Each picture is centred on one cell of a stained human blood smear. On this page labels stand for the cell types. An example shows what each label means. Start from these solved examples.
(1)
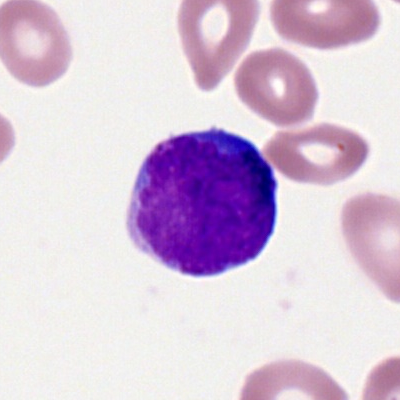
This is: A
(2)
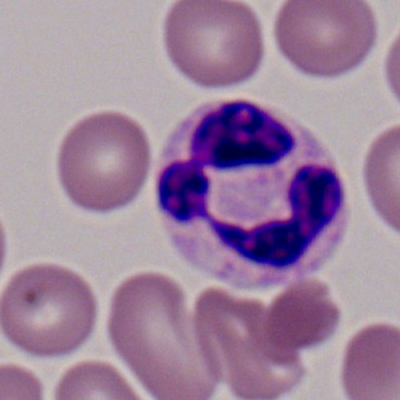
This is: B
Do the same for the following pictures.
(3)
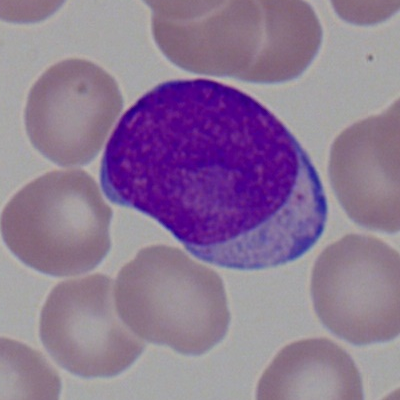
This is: A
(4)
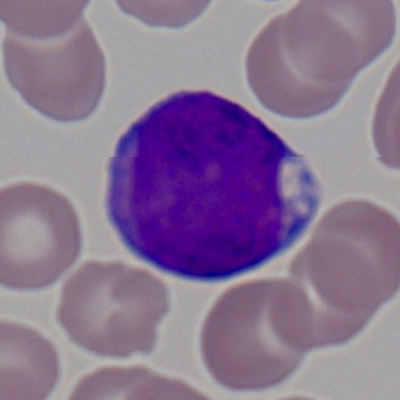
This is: A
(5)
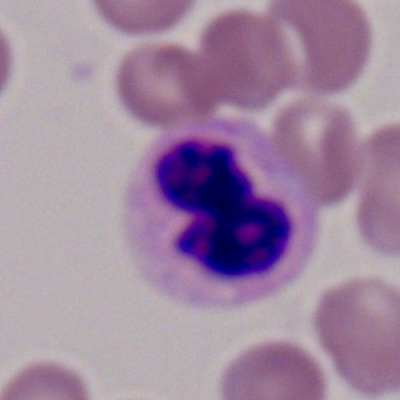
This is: B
